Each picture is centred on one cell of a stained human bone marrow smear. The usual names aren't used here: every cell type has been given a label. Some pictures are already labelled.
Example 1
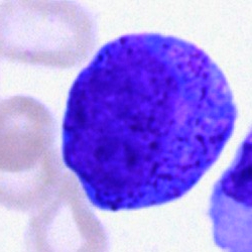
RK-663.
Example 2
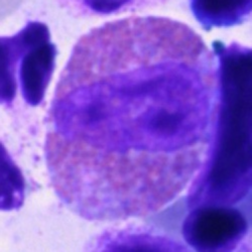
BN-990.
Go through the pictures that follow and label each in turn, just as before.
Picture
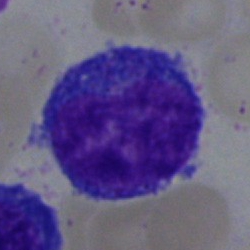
RK-663.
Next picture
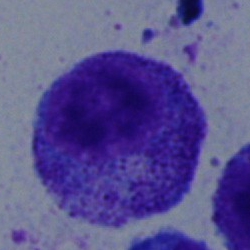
RK-663.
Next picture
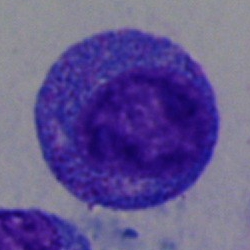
RK-663.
